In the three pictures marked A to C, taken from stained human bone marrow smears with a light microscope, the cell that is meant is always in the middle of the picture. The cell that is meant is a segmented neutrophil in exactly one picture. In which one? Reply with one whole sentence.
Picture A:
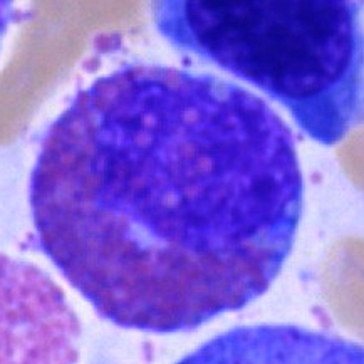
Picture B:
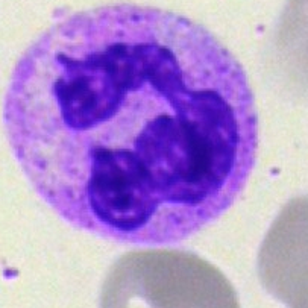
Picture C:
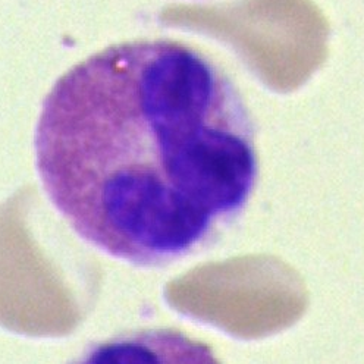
The cell in picture B is the segmented neutrophil.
